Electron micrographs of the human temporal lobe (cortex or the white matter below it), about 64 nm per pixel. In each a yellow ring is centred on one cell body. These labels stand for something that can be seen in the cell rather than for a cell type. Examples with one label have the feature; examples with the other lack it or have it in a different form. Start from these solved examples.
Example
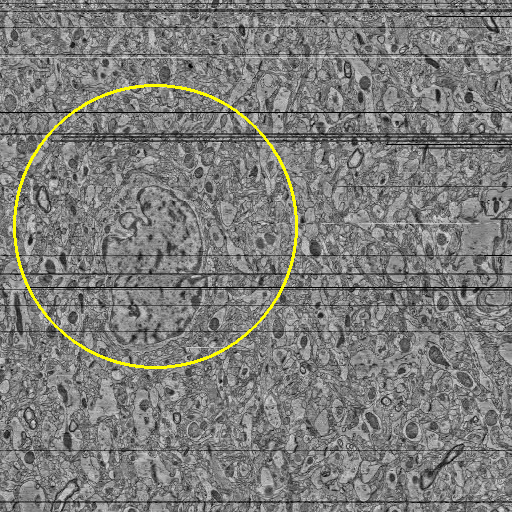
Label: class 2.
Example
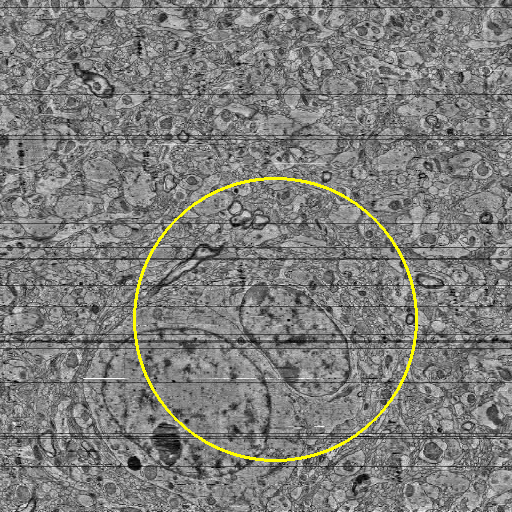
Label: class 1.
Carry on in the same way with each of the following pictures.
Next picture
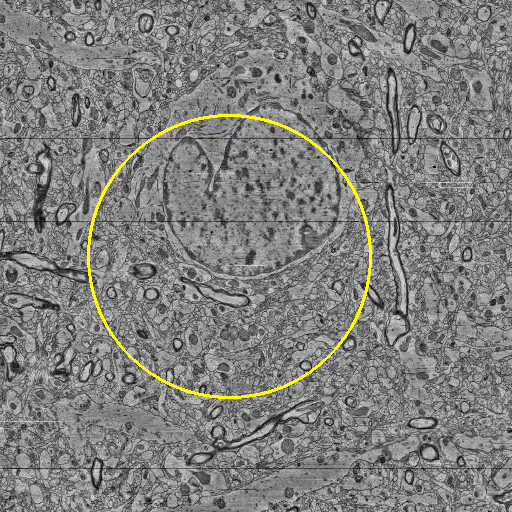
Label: class 2.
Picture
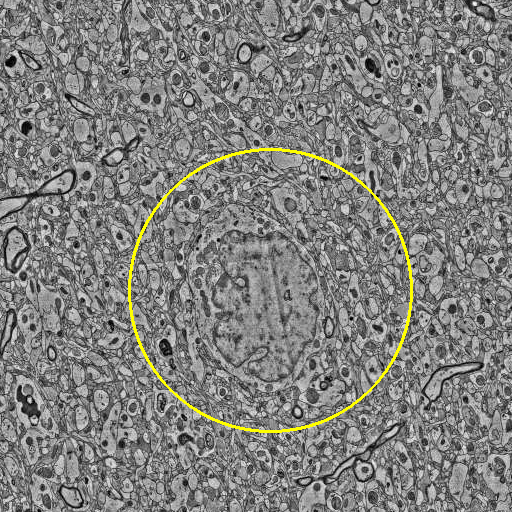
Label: class 2.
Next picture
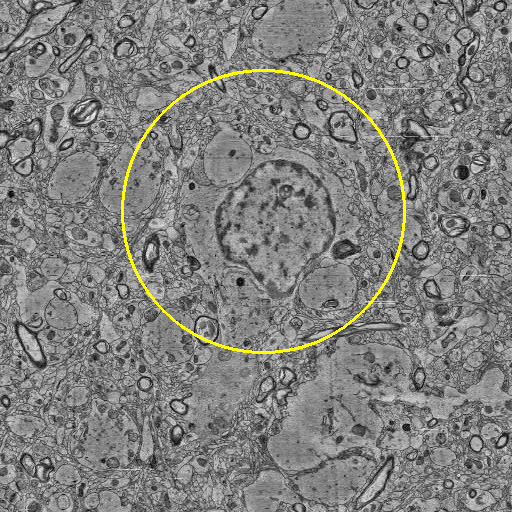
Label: class 2.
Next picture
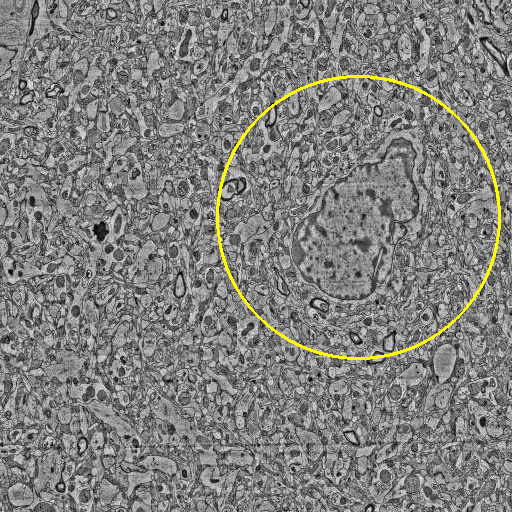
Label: class 2.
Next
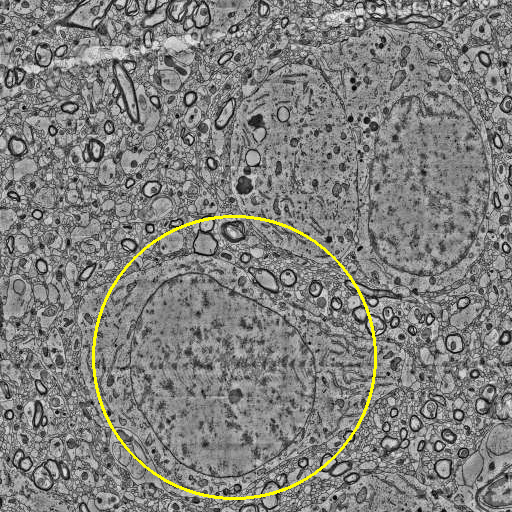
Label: class 1.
